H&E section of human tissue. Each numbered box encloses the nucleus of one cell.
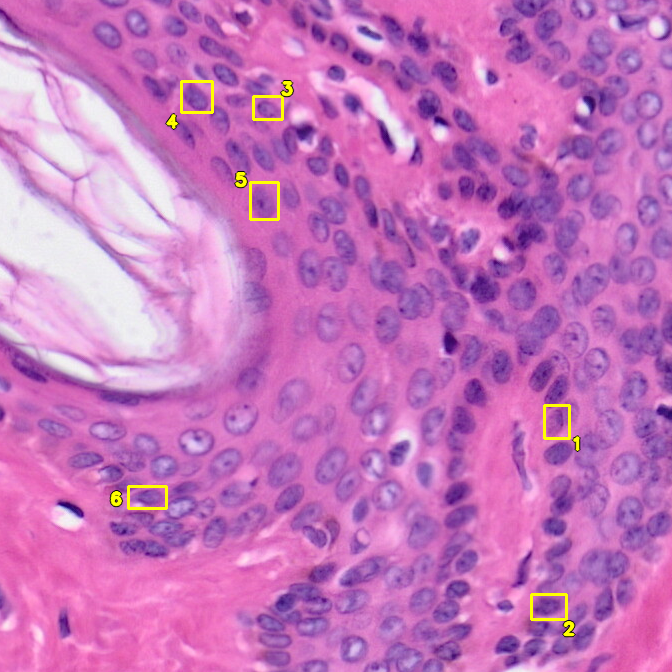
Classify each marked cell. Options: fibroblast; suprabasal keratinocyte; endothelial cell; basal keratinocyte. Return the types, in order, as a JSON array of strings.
["basal keratinocyte", "basal keratinocyte", "basal keratinocyte", "suprabasal keratinocyte", "suprabasal keratinocyte", "basal keratinocyte"]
